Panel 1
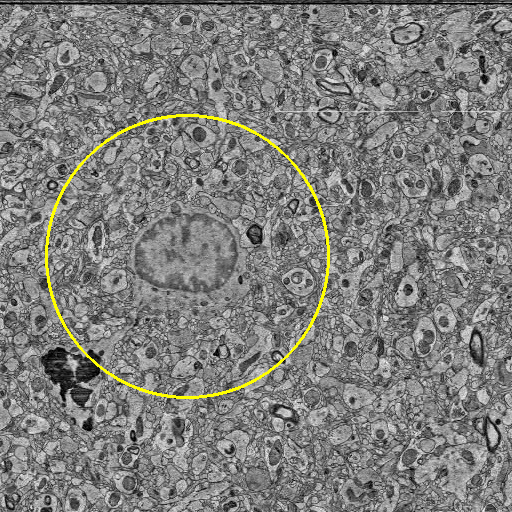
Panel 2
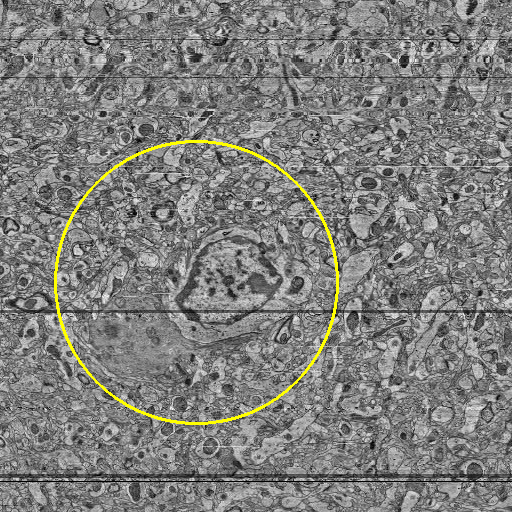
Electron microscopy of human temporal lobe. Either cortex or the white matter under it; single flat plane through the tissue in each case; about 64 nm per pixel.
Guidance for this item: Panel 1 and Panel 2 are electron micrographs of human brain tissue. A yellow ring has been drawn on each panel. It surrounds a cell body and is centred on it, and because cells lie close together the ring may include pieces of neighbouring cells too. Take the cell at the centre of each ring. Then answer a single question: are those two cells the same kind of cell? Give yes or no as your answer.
no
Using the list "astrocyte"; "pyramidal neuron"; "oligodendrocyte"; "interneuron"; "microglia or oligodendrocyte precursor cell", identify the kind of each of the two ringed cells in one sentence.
The first is an oligodendrocyte and the second is a microglial cell or oligodendrocyte precursor cell.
